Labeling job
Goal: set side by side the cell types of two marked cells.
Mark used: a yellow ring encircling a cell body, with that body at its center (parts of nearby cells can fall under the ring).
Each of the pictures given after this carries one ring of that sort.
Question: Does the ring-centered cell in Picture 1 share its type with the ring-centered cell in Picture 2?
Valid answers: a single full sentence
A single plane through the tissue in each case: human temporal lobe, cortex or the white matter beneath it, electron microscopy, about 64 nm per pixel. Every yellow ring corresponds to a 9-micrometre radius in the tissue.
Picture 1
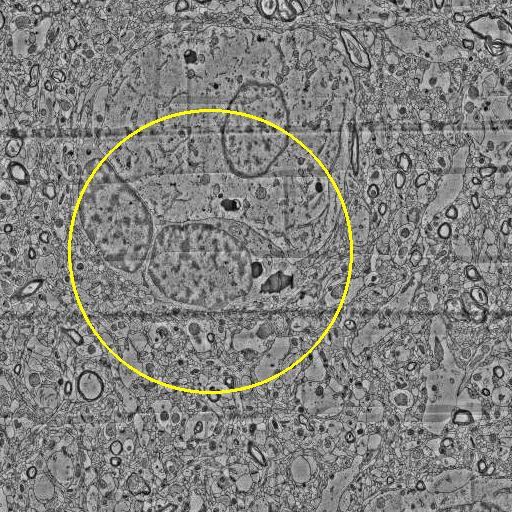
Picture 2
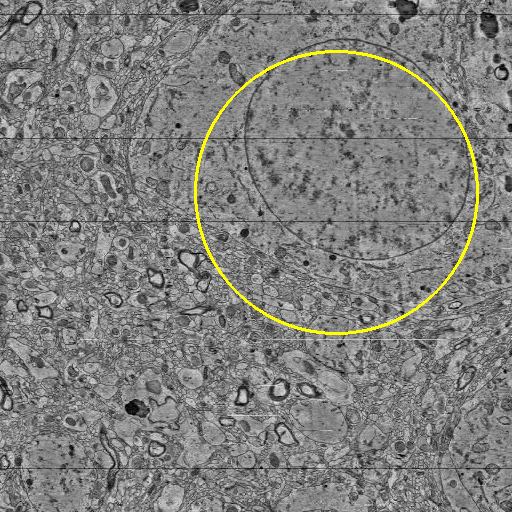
No, in Pictures 1 and 2 the cells at the ring centers have separate types.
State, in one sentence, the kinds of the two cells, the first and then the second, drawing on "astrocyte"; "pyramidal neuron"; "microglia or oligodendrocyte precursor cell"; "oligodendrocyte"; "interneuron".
The ring in the second picture is centred on a pyramidal neuron, the ring in the first on an oligodendrocyte.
